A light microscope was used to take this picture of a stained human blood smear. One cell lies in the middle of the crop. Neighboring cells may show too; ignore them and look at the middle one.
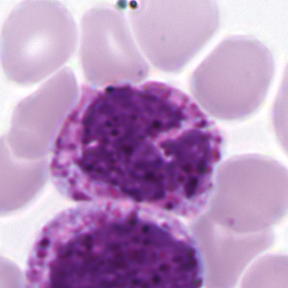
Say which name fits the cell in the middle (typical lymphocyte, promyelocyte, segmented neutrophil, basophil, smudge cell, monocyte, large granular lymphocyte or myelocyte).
basophil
